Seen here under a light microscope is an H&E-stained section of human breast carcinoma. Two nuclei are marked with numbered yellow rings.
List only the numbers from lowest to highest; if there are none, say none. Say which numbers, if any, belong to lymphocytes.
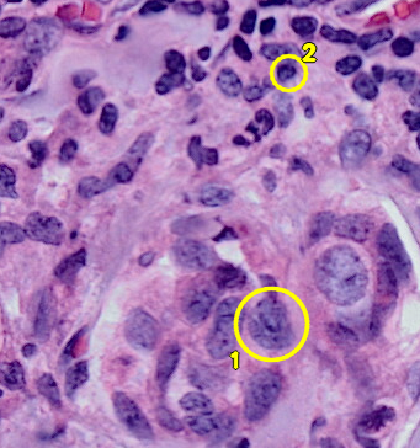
2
